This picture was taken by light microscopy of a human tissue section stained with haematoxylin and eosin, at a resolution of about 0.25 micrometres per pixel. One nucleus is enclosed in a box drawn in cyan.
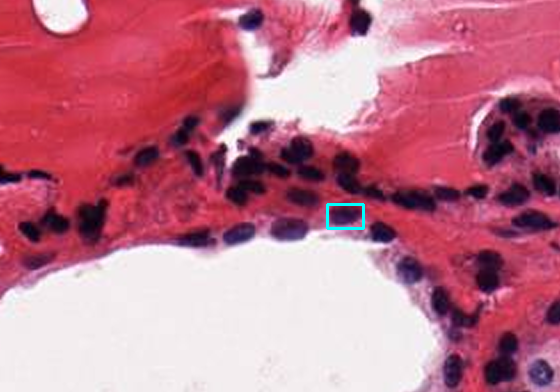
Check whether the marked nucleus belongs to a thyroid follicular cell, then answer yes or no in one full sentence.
Yes, the marked nucleus is assigned to a thyroid follicular cell.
